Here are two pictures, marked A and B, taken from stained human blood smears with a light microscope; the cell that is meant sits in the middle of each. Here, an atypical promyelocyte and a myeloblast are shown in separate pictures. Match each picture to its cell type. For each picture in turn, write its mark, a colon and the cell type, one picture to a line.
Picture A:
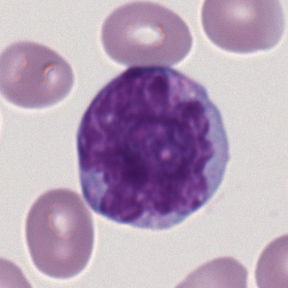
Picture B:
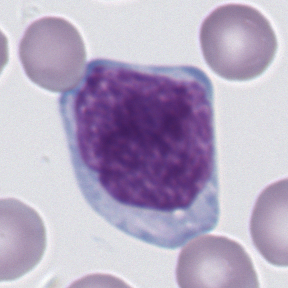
A: atypical promyelocyte
B: myeloblast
